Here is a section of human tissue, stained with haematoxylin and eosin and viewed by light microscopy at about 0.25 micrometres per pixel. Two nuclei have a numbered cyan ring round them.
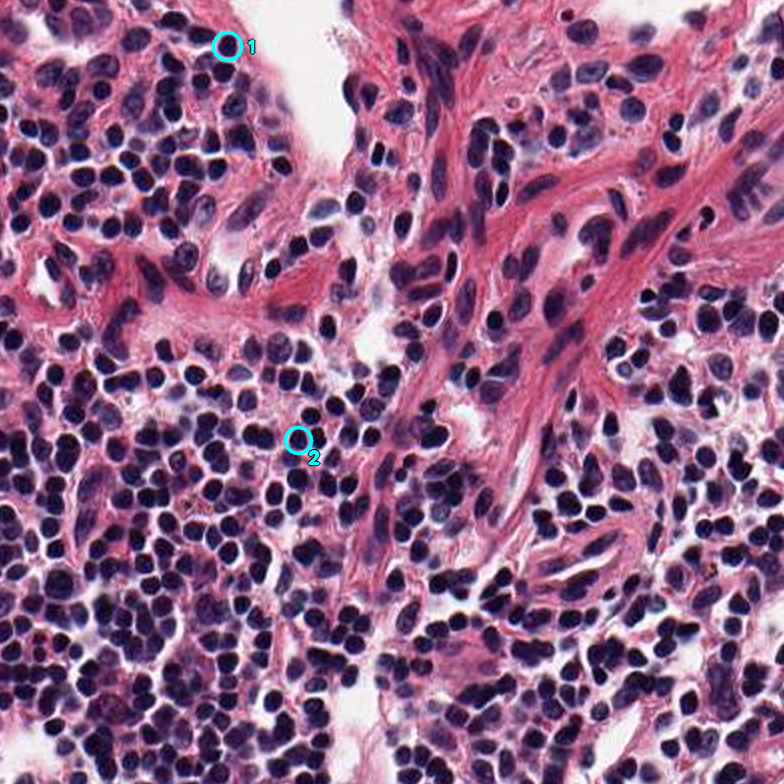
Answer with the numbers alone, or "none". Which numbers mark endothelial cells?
none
